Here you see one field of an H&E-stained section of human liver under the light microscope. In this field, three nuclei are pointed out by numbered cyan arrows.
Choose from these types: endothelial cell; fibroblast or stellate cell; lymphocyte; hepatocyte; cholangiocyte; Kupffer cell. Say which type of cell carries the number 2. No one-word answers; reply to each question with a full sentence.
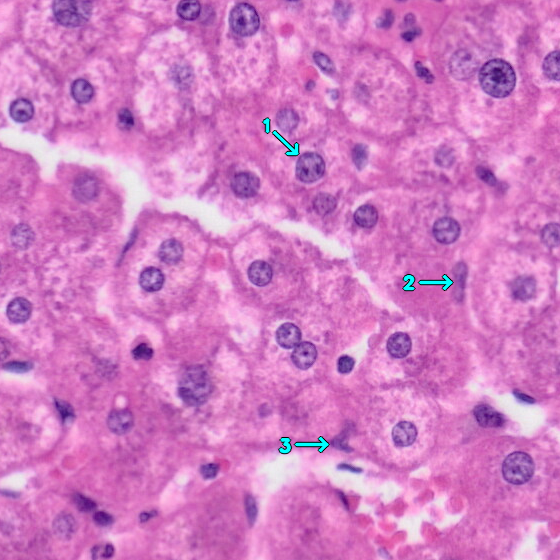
Corresponding to a Kupffer cell is the cell labelled 2.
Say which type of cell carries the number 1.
The cell to which the number 1 is assigned is a hepatocyte.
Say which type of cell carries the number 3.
The cell with the number 3 is a fibroblast or stellate cell.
